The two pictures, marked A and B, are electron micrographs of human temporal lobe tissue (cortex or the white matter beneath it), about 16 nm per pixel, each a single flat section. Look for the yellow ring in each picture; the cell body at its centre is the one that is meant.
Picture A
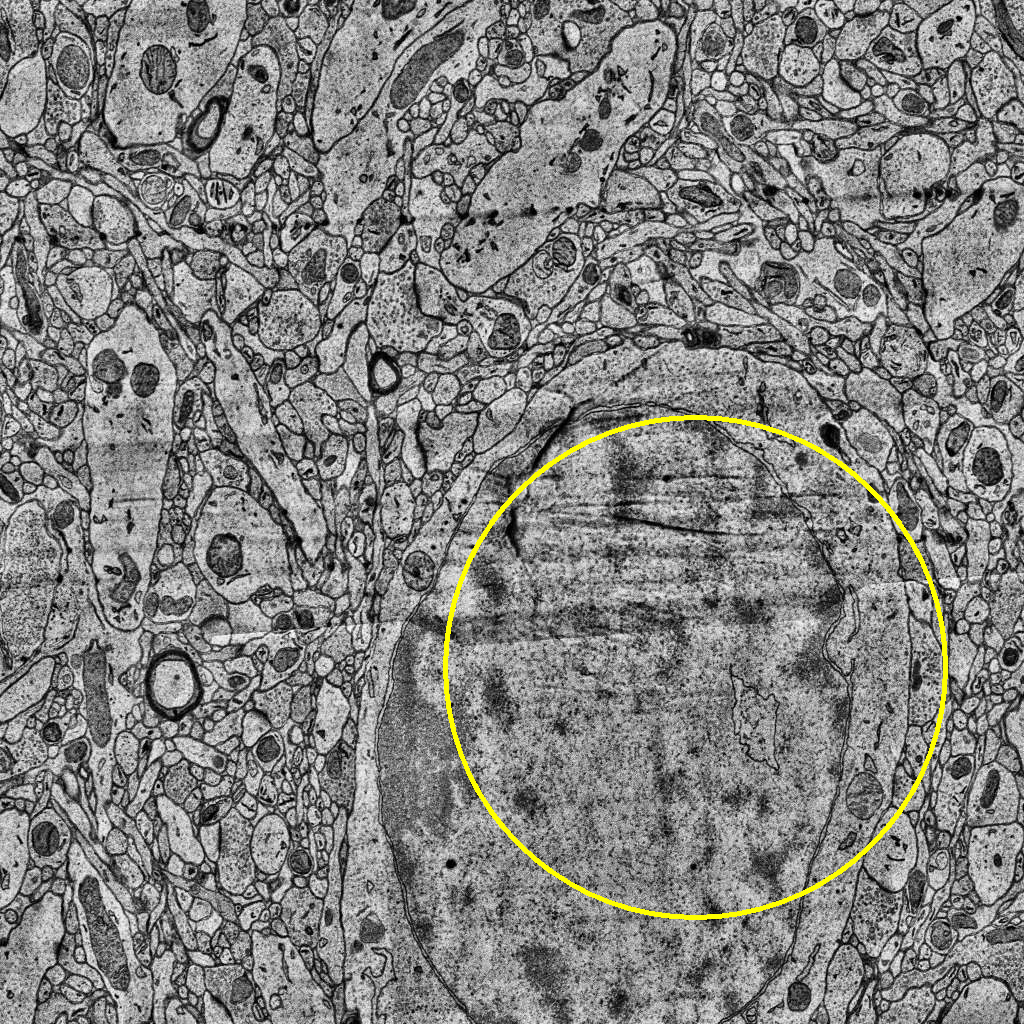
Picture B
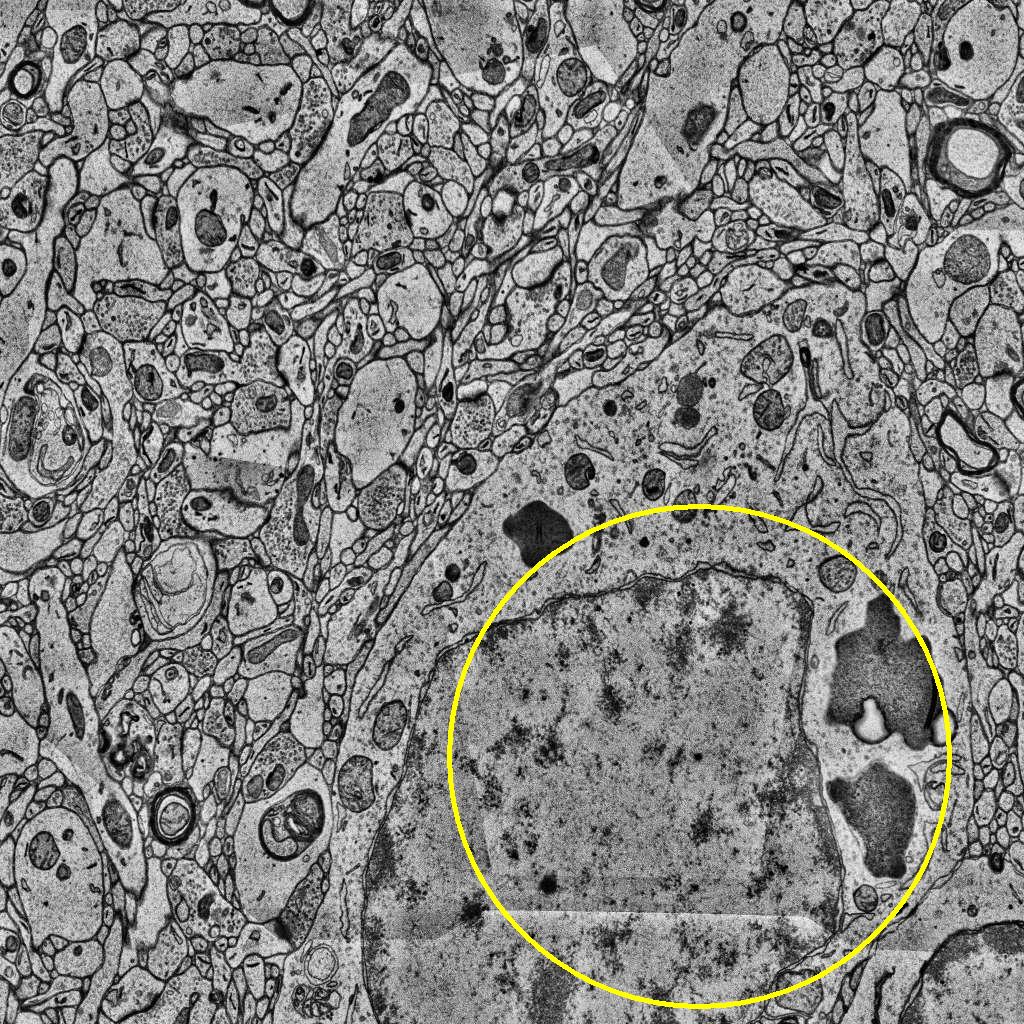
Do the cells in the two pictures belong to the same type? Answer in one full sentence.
Yes, both are interneurons.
